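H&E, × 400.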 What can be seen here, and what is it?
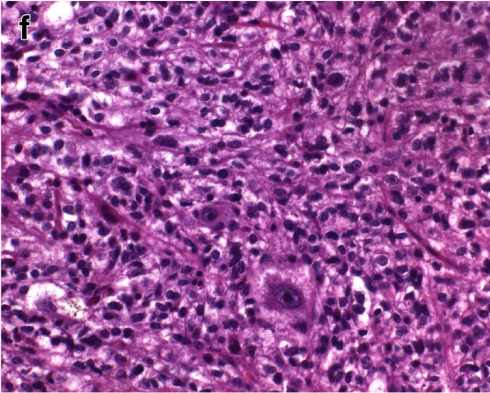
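Tumor cells of mixed form lie closely packed: many are rounded or polygonal with pale, clear or bubbly cytoplasm and round nuclei, between bands of more elongated cells with pink fibrillar cytoplasm. Near the bottom centre one giant cell with abundant pink cytoplasm holds a large nucleus with a prominent nucleolus. These are epithelioid clear cells mixed with spindle cells and an occasional giant cell with a large nucleus.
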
